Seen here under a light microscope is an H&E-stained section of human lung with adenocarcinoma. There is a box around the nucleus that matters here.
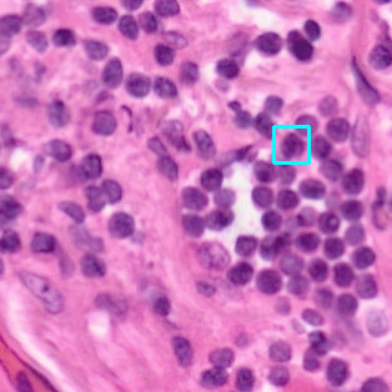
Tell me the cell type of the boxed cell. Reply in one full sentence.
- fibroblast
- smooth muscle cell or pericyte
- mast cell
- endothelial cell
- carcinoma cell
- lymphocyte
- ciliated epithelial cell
The cell meant here is a lymphocyte.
